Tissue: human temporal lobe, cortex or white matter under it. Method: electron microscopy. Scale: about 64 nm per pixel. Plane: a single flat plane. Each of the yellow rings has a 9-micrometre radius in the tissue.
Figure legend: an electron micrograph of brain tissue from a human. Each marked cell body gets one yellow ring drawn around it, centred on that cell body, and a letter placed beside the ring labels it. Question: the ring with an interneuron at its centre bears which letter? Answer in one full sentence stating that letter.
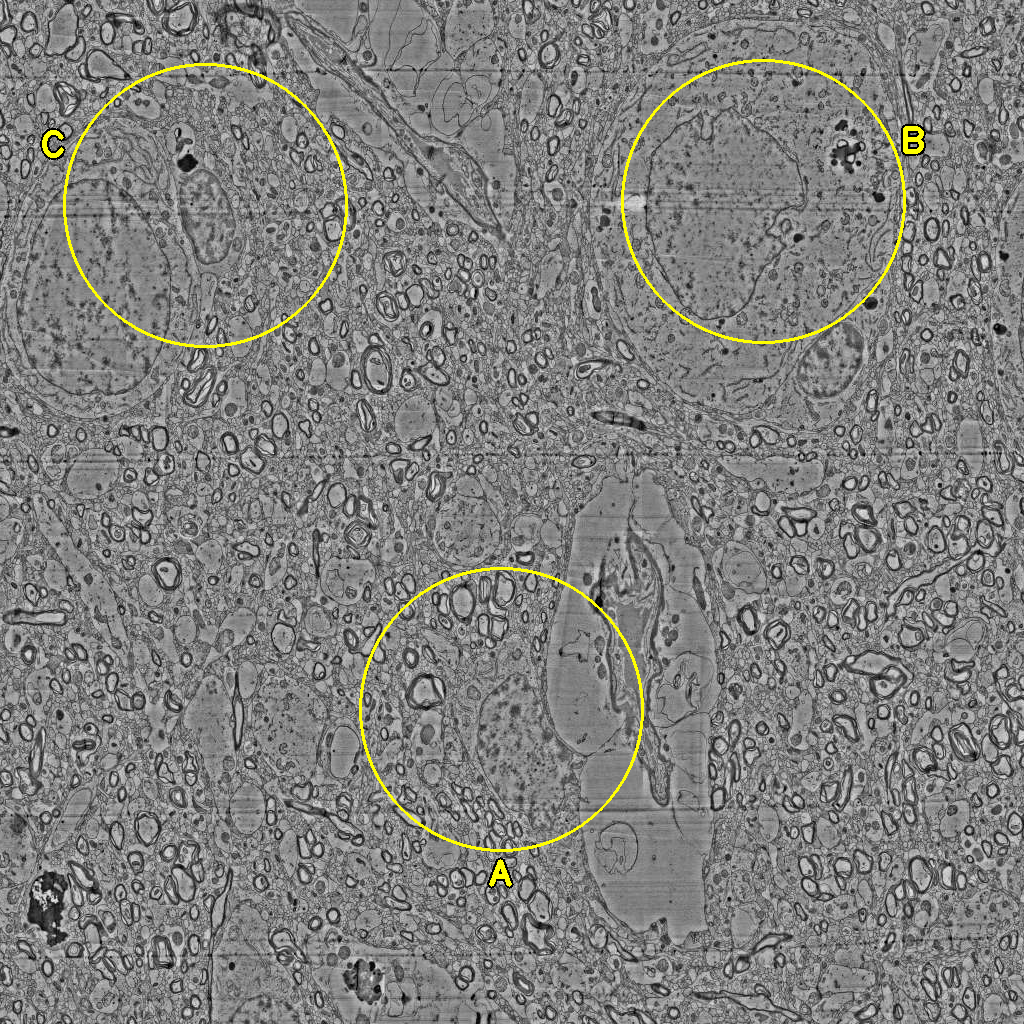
Labelled A is the ring whose centre holds the cell asked for in this picture.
